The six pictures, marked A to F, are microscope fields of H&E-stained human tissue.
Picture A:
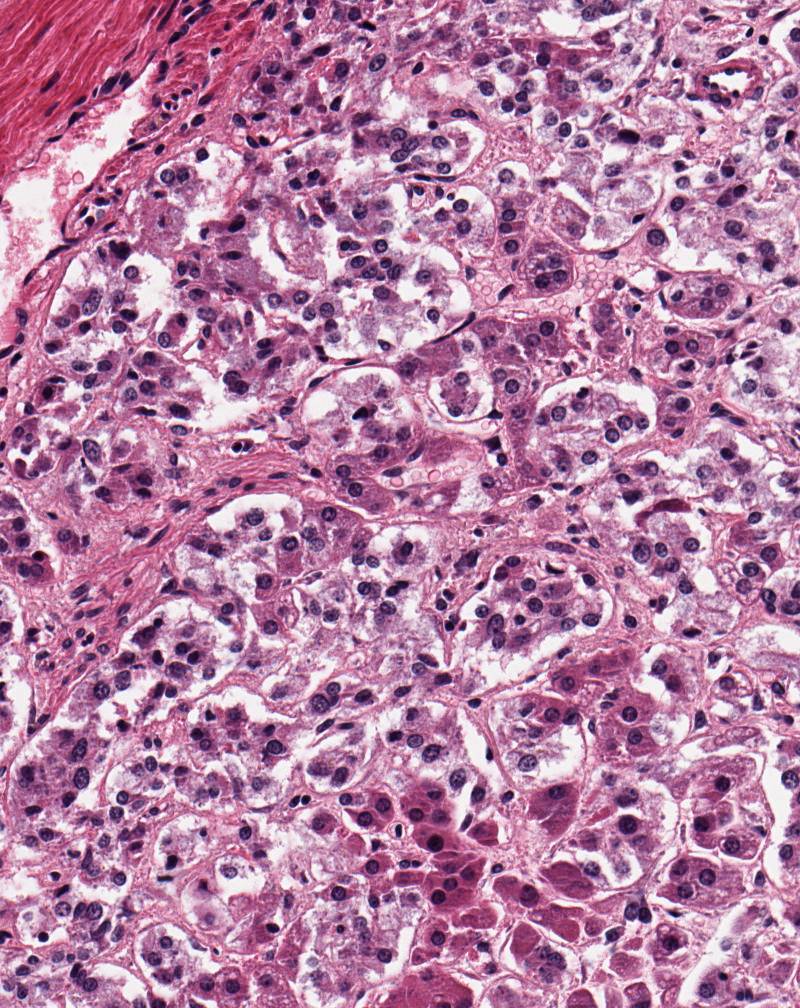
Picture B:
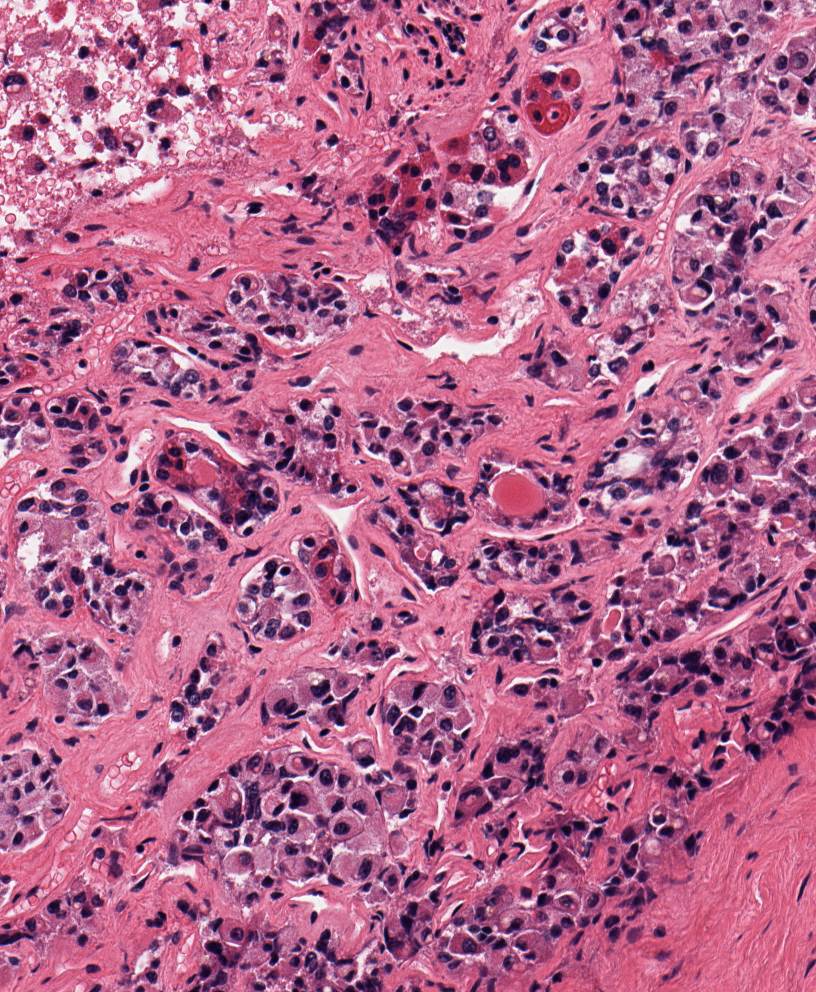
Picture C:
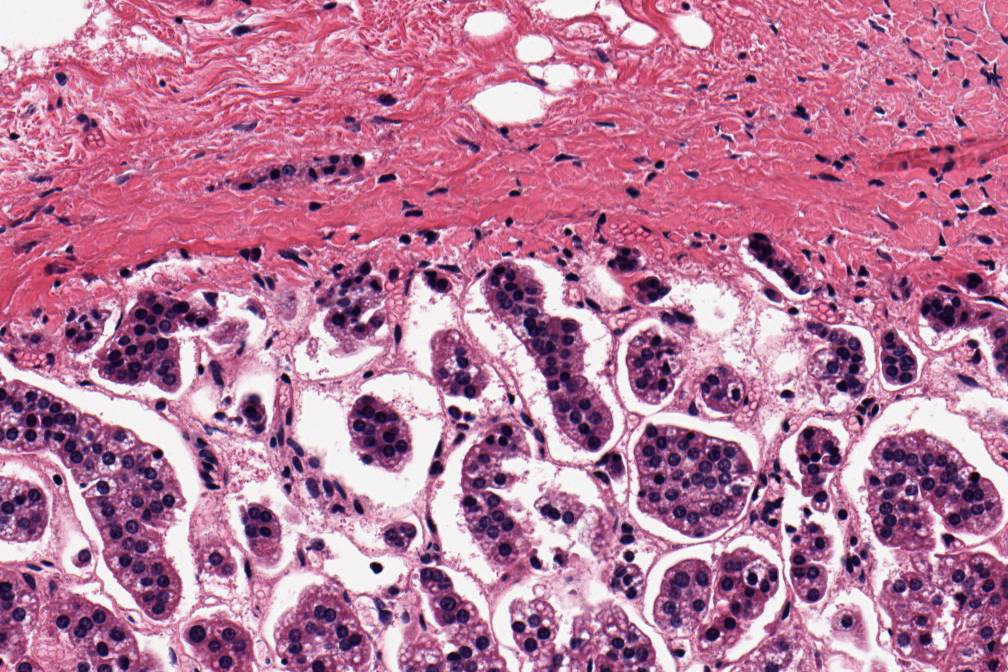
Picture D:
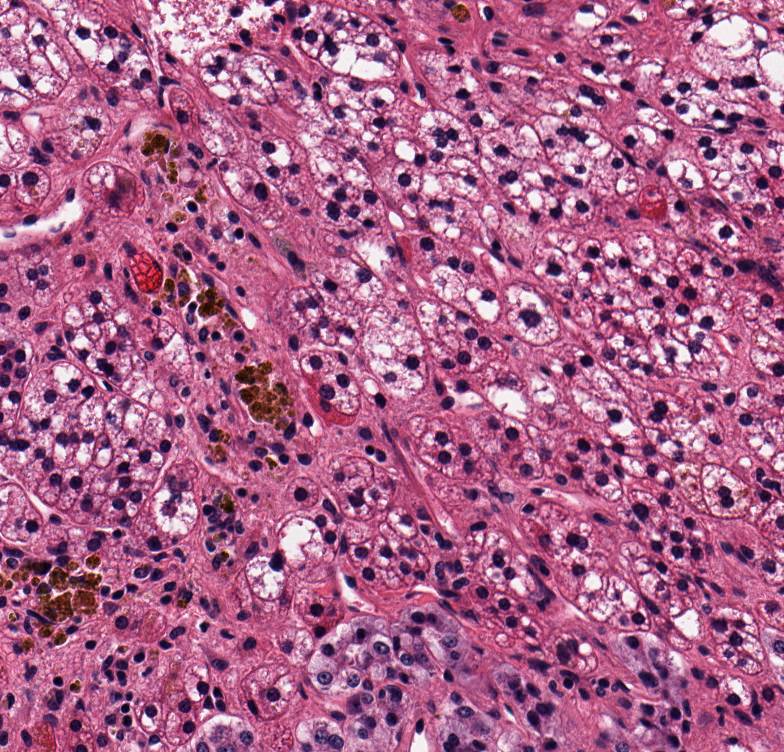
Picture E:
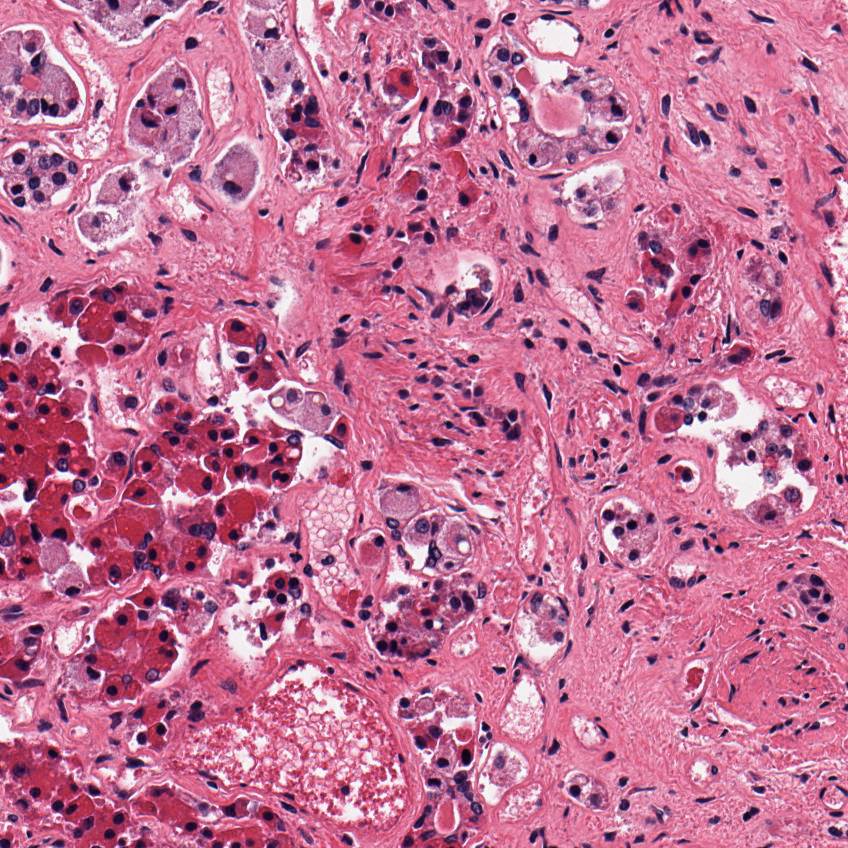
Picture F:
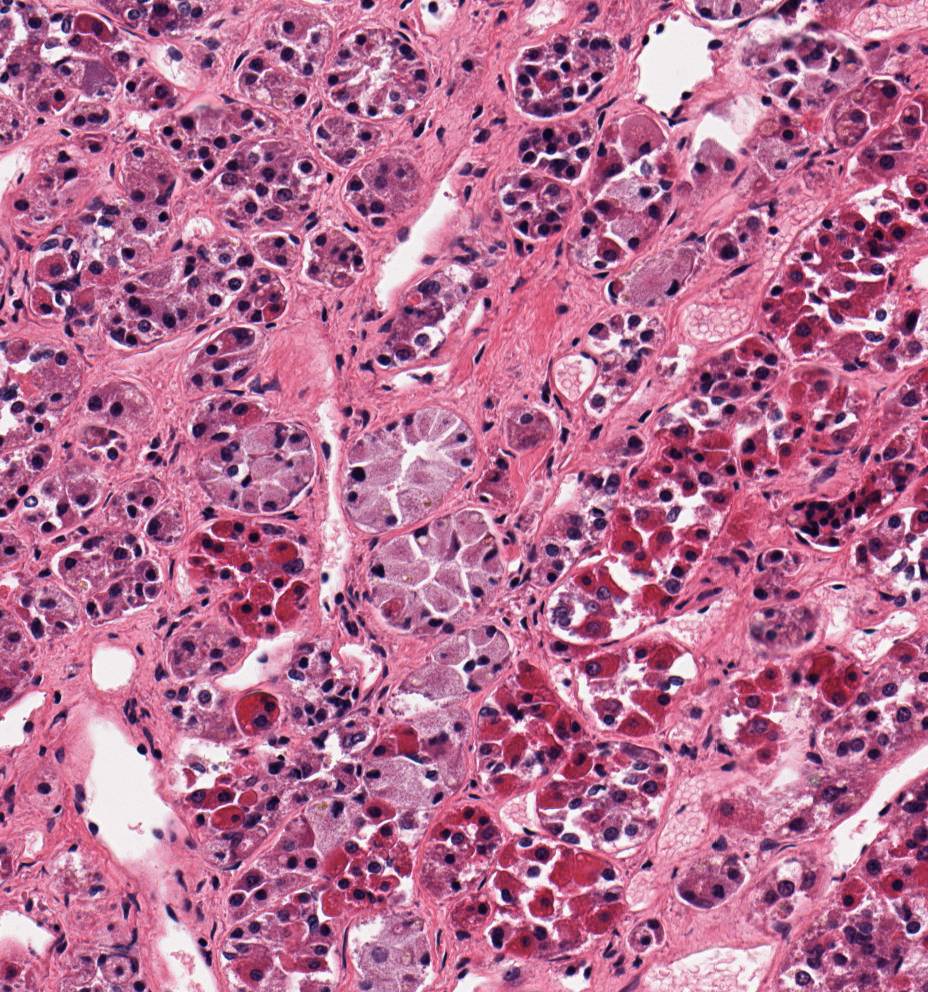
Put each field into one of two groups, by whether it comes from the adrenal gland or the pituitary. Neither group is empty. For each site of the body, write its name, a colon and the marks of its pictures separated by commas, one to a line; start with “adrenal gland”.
adrenal gland: A, C, D
pituitary: B, E, F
